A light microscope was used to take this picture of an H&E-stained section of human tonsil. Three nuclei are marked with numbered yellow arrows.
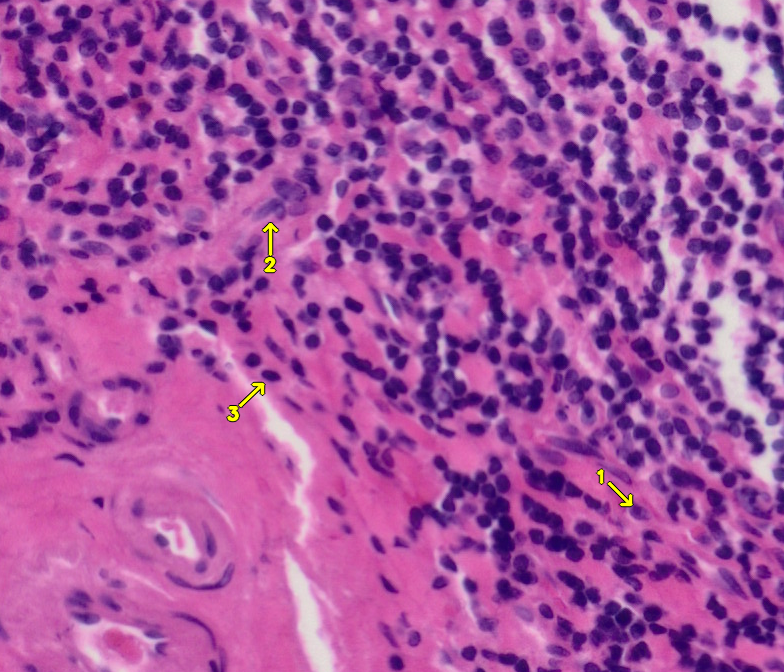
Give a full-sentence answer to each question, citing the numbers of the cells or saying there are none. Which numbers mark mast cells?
Of those with numbers, only cell 3 is a mast cell.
